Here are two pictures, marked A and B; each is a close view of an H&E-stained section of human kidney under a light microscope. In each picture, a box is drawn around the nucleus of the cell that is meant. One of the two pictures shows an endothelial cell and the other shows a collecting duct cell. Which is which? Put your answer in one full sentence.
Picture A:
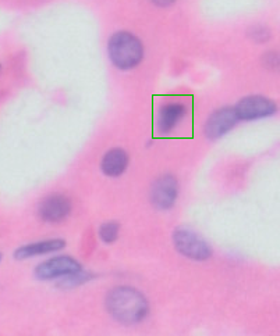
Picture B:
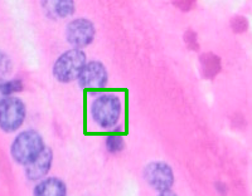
Picture B shows a collecting duct cell, while picture A shows an endothelial cell.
